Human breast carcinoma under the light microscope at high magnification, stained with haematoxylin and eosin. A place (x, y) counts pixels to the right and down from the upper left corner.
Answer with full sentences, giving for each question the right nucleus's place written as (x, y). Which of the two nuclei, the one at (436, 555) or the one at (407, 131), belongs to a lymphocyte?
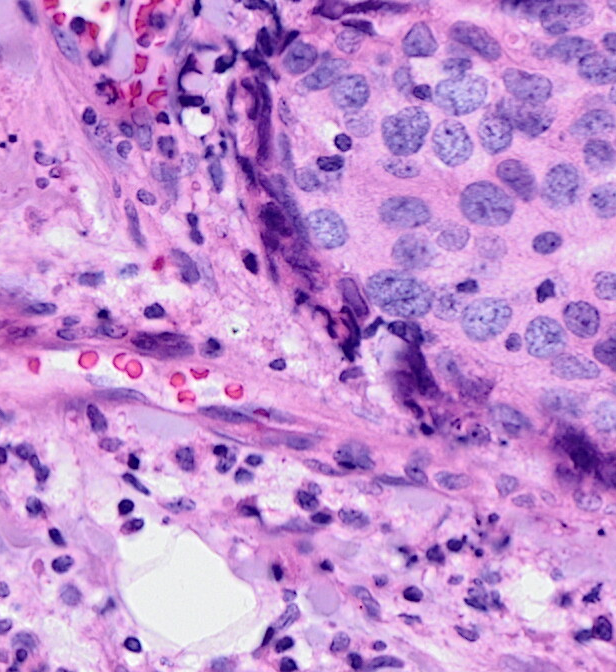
The nucleus contained in a lymphocyte is the one at (436, 555).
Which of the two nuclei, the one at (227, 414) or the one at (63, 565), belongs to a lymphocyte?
Of the two, the nucleus at (63, 565) is the one contained in a lymphocyte.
